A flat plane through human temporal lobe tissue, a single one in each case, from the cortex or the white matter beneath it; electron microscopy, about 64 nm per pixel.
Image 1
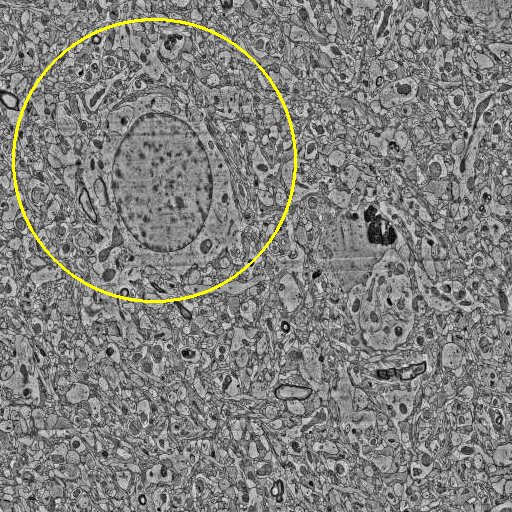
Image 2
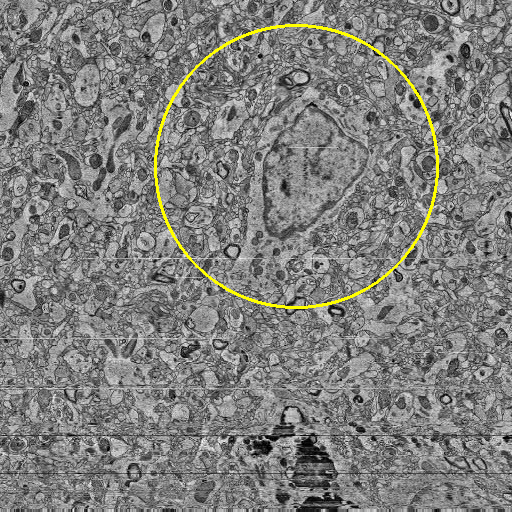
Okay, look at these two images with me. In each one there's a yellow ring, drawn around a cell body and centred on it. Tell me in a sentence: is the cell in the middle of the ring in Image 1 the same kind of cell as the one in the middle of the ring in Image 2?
No, they're two kinds of cell.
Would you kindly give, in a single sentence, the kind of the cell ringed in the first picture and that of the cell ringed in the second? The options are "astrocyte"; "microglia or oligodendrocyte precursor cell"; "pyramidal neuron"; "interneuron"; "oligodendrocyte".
The second cell is a microglial cell or oligodendrocyte precursor cell, and the first cell is an astrocyte.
